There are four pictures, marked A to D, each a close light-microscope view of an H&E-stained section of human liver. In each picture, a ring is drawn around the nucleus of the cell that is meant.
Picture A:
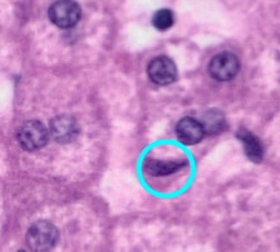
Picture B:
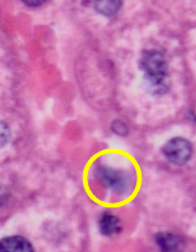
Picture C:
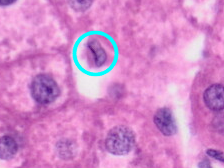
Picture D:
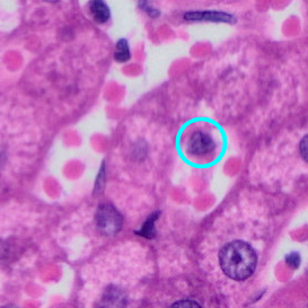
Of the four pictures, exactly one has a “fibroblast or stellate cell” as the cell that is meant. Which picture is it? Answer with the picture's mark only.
A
